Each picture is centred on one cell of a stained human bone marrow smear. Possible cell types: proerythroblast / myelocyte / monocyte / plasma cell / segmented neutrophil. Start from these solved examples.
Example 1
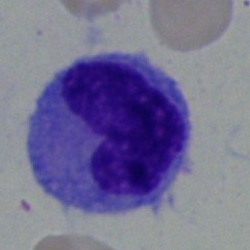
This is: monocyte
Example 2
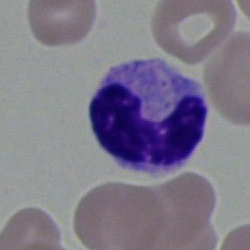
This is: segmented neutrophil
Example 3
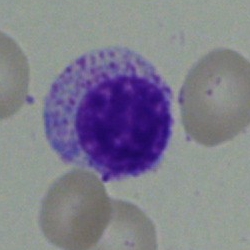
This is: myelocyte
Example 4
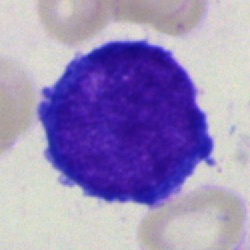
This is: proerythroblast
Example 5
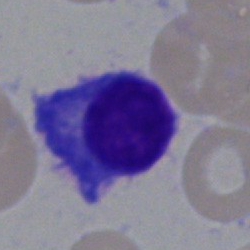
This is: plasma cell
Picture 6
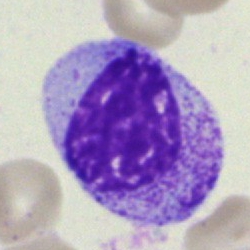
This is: myelocyte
